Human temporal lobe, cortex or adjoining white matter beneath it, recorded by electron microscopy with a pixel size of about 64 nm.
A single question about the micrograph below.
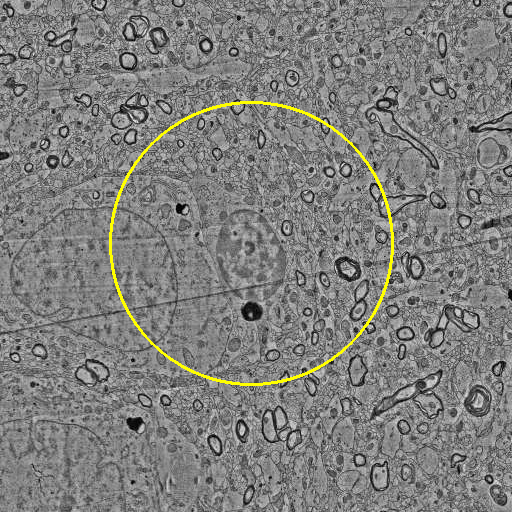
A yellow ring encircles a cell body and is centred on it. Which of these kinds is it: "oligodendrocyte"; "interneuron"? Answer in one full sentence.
The cell body at the centre of the yellow ring belongs to an oligodendrocyte.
